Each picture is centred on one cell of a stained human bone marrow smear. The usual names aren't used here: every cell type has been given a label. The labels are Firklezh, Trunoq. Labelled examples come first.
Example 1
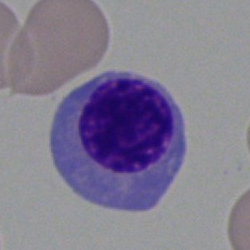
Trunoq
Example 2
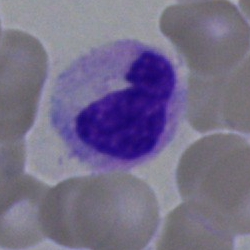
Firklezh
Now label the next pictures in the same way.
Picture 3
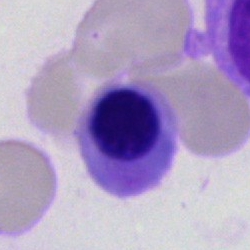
Trunoq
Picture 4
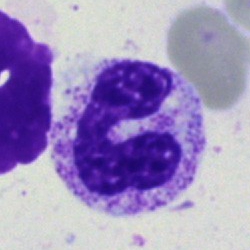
Firklezh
